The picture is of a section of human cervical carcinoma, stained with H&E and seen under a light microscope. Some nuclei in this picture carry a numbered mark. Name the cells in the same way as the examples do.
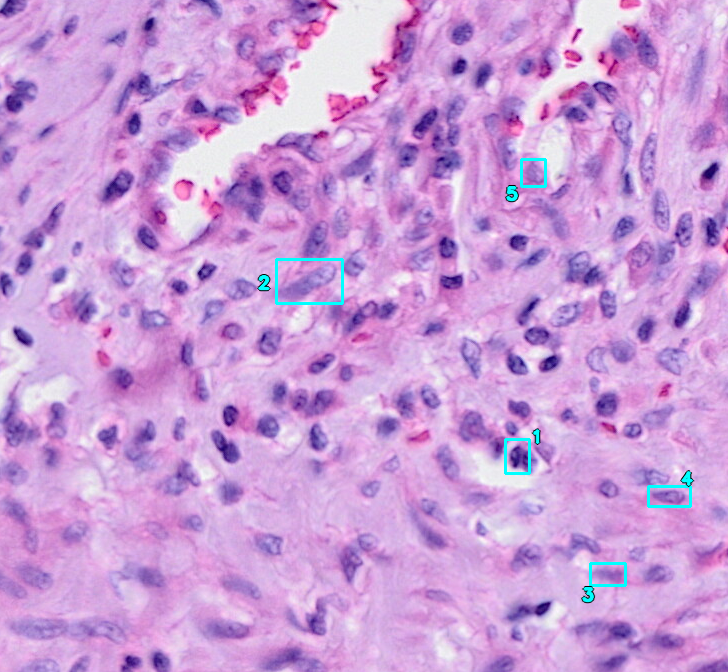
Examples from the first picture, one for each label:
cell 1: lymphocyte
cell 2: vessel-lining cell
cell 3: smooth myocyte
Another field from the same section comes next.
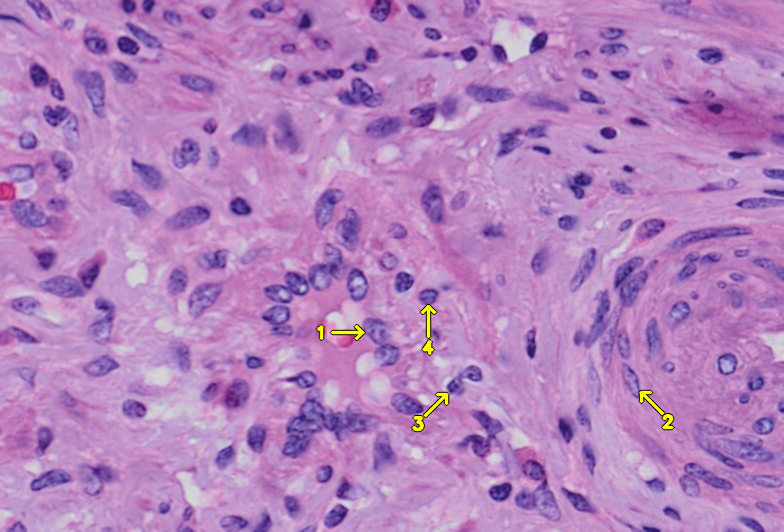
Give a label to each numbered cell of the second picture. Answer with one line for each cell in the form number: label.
1: vessel-lining cell
2: smooth myocyte
3: lymphocyte
4: smooth myocyte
